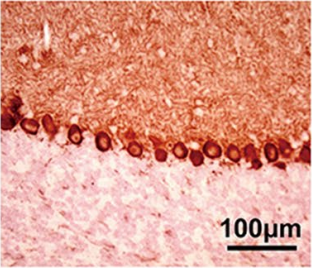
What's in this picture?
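At higher magnification the Purkinje cell layer is seen as a single row of large dark brown rounded cell bodies lying at the border between a brown fibrous molecular layer above and a pale granular layer below. The cells are closely and regularly spaced along the row, and the molecular layer is filled with fine brown fibers.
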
